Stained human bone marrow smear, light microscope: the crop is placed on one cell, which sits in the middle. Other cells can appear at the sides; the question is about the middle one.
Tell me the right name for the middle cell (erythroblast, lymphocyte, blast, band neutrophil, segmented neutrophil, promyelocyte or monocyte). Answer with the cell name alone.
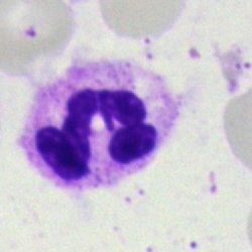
segmented neutrophil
